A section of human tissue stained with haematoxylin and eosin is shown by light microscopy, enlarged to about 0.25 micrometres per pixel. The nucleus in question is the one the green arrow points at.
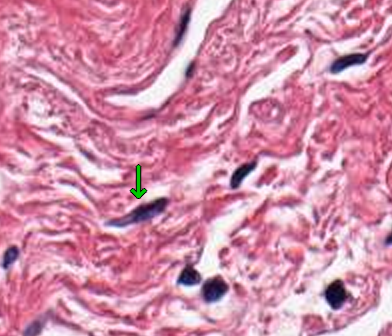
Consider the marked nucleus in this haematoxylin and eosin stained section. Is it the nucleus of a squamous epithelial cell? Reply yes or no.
no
